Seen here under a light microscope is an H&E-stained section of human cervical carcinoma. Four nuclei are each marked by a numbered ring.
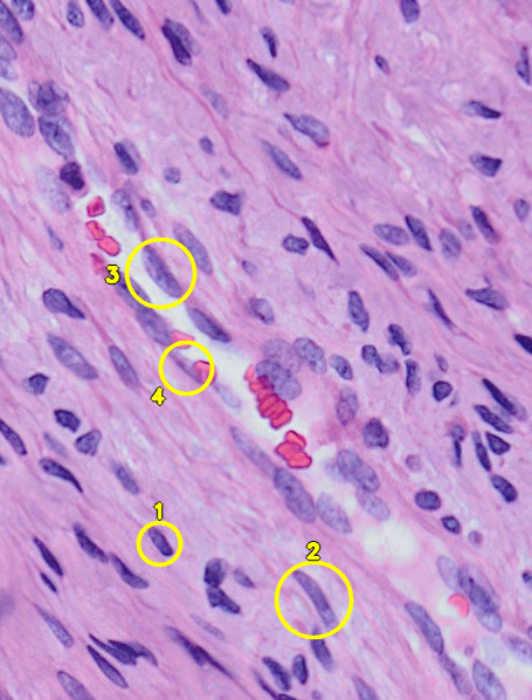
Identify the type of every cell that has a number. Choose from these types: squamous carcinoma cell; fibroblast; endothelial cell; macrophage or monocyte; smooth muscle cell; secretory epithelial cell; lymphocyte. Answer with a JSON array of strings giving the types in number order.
["fibroblast", "smooth muscle cell", "endothelial cell", "endothelial cell"]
